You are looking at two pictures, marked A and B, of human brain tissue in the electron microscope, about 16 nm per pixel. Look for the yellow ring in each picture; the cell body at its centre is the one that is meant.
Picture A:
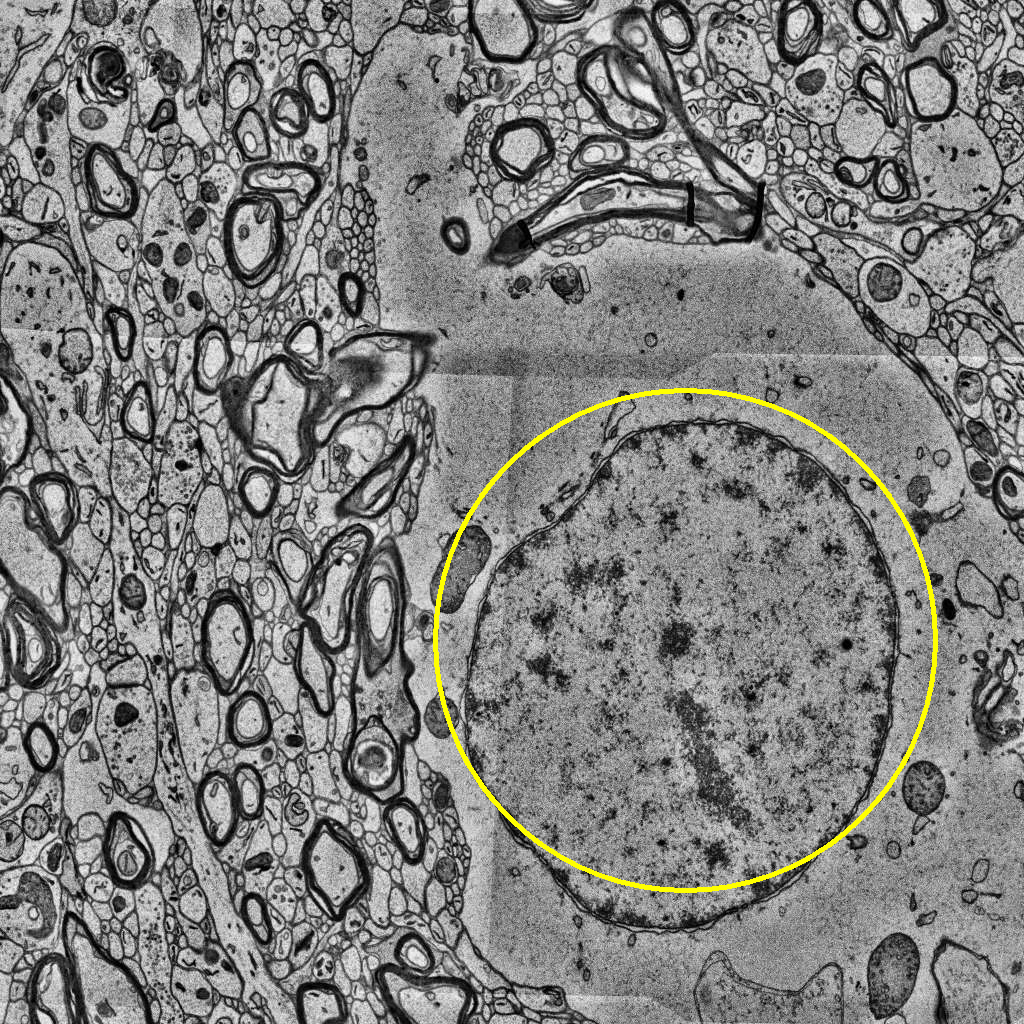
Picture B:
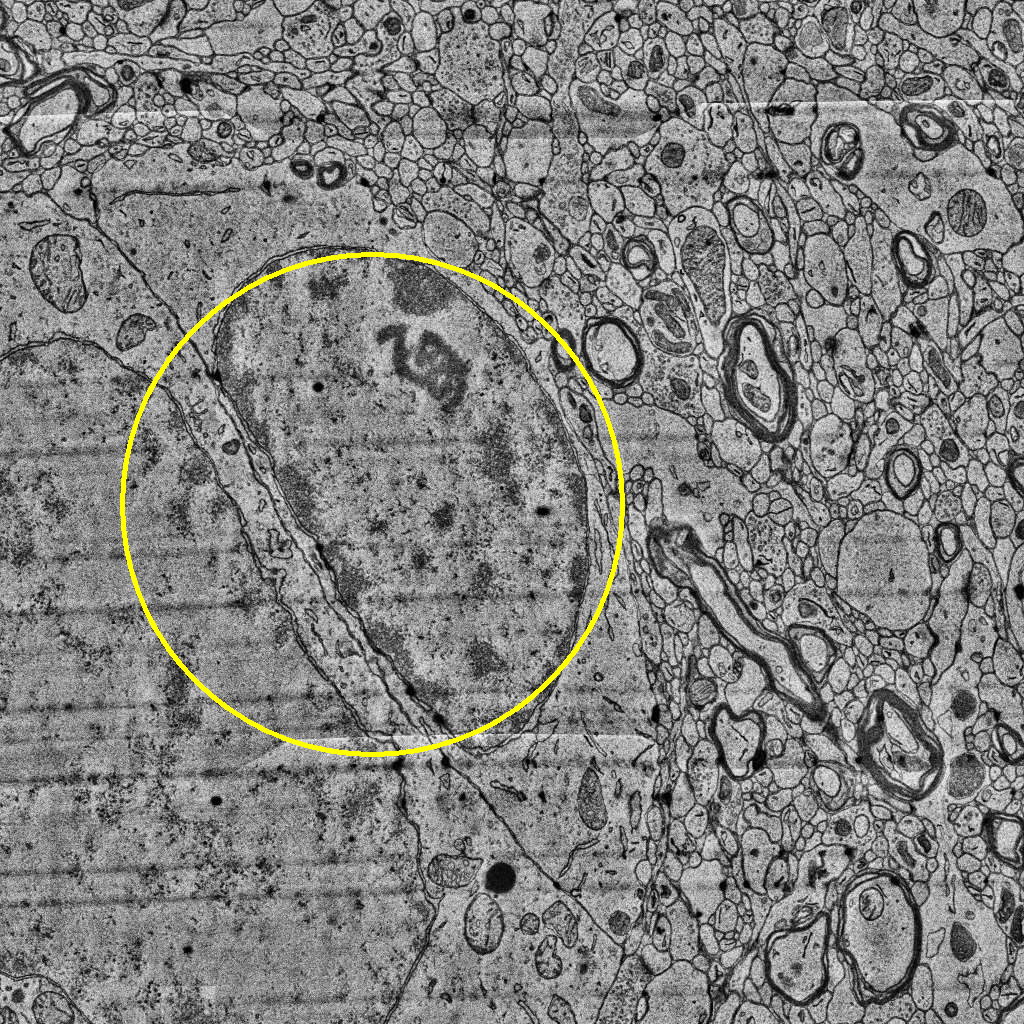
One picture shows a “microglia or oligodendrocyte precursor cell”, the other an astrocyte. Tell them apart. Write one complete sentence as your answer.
It is picture A that shows an astrocyte, and picture B that shows a “microglia or oligodendrocyte precursor cell”.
